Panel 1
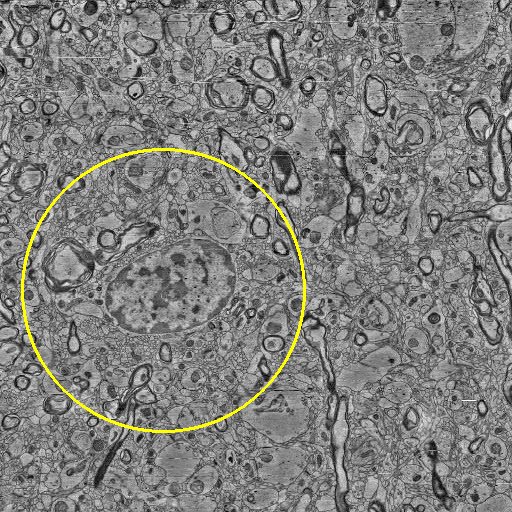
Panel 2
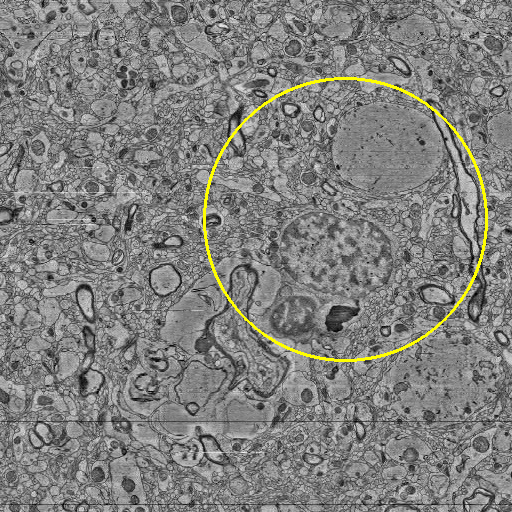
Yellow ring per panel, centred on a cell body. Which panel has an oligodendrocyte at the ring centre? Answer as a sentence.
Panel 2 shows it at the ring centre.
